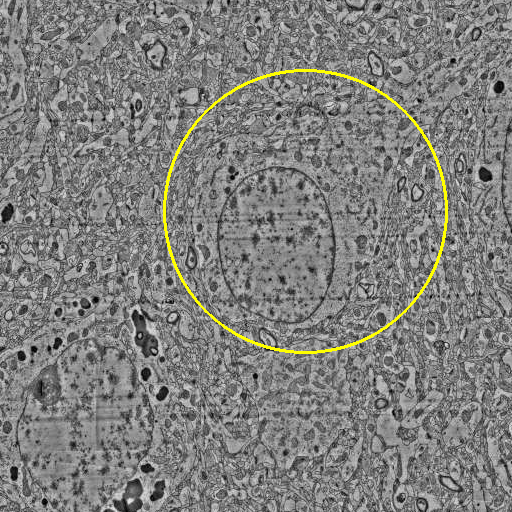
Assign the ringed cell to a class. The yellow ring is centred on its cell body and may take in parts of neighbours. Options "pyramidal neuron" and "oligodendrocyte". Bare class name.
pyramidal neuron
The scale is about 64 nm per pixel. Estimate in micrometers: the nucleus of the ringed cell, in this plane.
About 10 by 8 micrometers, in this plane.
